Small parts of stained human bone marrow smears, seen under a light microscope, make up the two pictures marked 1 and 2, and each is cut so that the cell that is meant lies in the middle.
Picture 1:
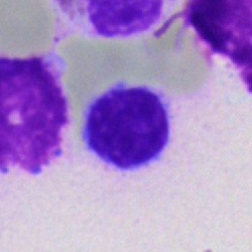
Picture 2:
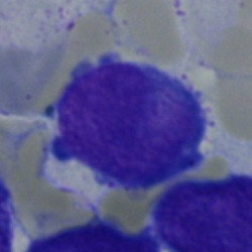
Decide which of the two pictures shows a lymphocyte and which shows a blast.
1: lymphocyte
2: blast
